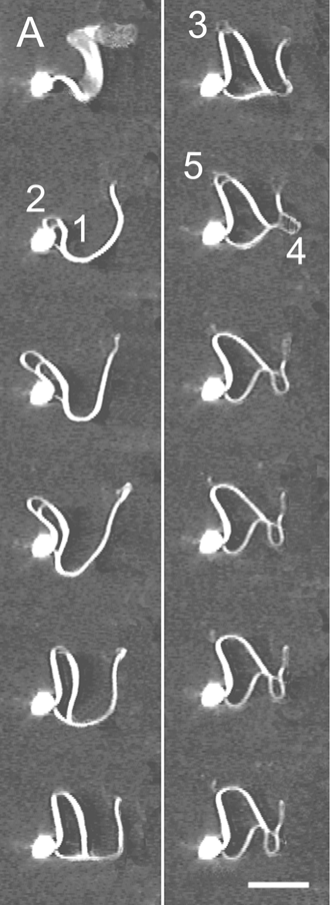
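In the first frame the flagellum is still bent in a beat. In later frames thin bright filaments separate from the flagellum and form loops that grow, shorten and shift in position from frame to frame.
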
